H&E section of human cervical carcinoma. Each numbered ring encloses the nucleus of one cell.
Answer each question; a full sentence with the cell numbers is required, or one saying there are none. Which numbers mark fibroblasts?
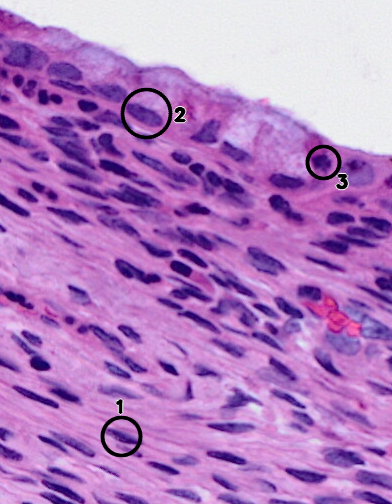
Of the cells bearing numbers, the only one that is a fibroblast is cell 1.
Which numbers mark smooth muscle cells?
Among the cells with numbered nuclei there are no smooth muscle cells.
